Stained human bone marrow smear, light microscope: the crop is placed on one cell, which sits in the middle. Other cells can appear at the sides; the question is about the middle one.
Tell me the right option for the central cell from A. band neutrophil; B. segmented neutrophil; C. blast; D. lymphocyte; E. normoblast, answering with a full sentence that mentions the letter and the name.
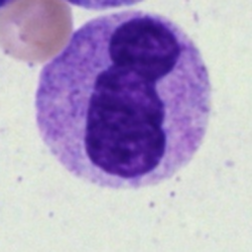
Option A is the right choice, the central cell being a band neutrophil.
